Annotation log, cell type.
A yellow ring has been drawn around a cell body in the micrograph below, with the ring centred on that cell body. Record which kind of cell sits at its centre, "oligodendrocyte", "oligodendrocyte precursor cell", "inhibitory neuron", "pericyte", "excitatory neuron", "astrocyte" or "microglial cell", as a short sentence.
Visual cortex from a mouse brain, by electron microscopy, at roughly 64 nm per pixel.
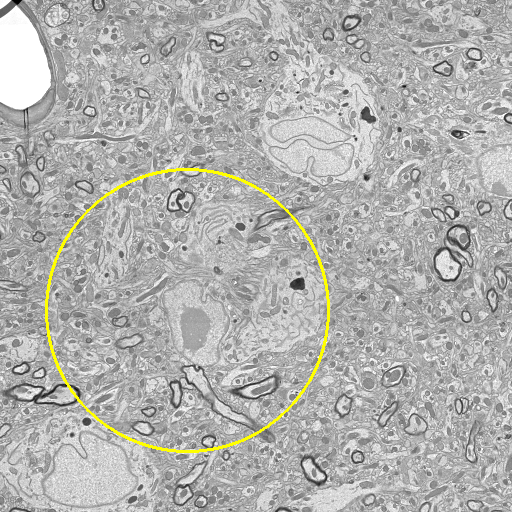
The cell at the centre of this ring is an oligodendrocyte precursor cell.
